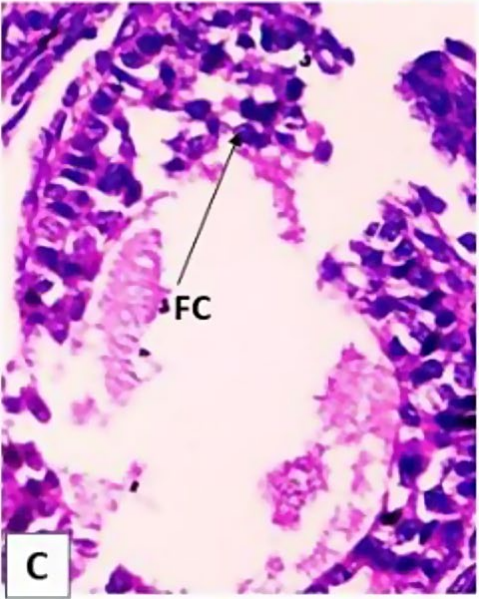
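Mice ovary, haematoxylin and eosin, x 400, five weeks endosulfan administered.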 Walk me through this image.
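The cells are crowded along the margins of the spaces as clusters of dark purple, rounded nuclei with scant cytoplasm. Some groups of cells appear loosened and detached, lying loosely at the edge of the cavity. Pale pink, granular or fibrillar material lies free within the empty space. The orderly, continuous layering of cells is disrupted.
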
